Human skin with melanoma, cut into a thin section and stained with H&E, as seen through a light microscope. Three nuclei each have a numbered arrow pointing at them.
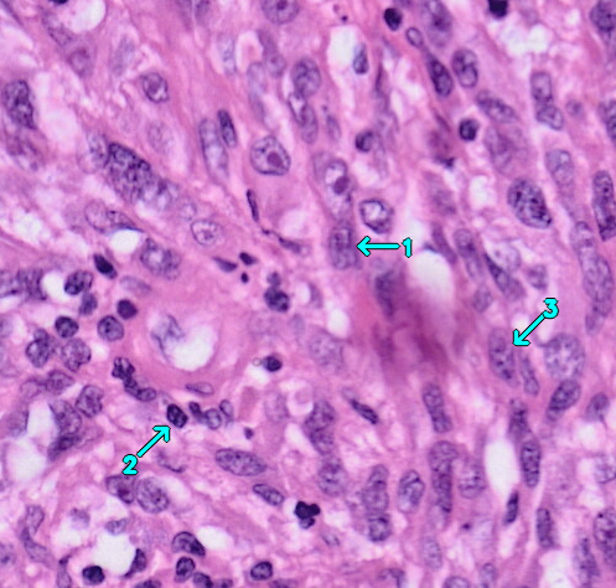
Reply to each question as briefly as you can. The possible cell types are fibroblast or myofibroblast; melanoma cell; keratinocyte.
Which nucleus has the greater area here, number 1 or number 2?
1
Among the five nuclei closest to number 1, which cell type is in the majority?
melanoma cell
